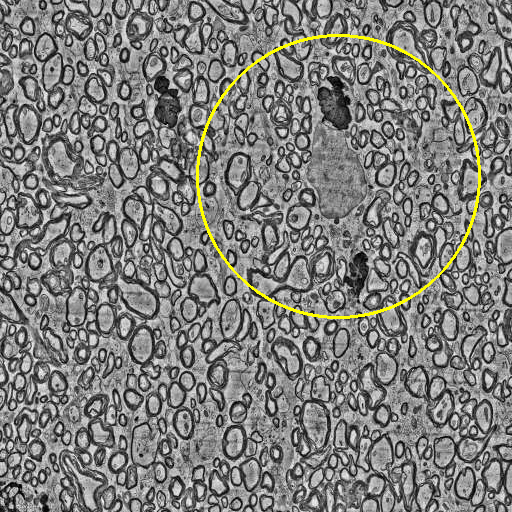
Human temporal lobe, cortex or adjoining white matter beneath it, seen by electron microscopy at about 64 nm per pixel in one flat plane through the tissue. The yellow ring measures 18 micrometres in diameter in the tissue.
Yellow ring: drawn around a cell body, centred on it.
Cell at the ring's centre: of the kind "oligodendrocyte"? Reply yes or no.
yes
